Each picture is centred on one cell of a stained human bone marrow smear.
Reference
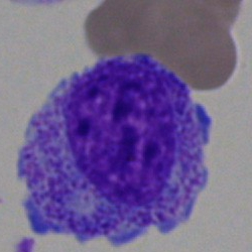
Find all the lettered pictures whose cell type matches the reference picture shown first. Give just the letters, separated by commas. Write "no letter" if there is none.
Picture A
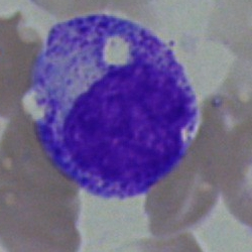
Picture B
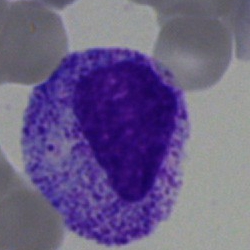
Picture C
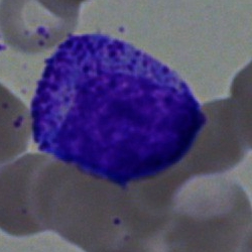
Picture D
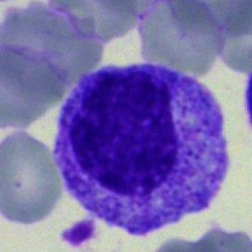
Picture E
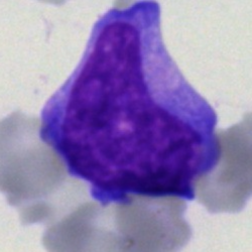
A, B, C, D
